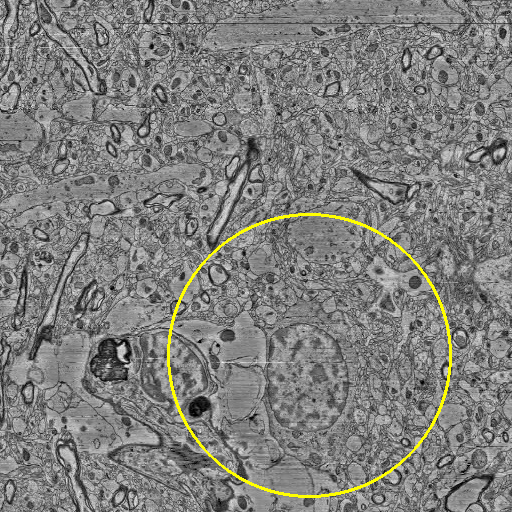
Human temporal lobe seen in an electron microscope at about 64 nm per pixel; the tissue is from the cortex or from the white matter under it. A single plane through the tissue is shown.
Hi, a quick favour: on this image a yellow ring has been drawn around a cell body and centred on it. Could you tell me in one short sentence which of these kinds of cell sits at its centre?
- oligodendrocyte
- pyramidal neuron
The ring is centred on an oligodendrocyte.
